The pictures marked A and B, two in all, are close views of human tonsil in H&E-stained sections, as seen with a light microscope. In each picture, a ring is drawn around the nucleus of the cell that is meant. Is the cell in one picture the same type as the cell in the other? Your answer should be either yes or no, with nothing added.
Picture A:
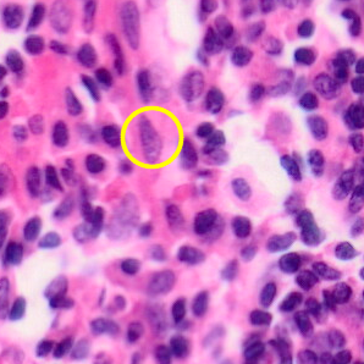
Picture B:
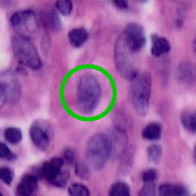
yes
